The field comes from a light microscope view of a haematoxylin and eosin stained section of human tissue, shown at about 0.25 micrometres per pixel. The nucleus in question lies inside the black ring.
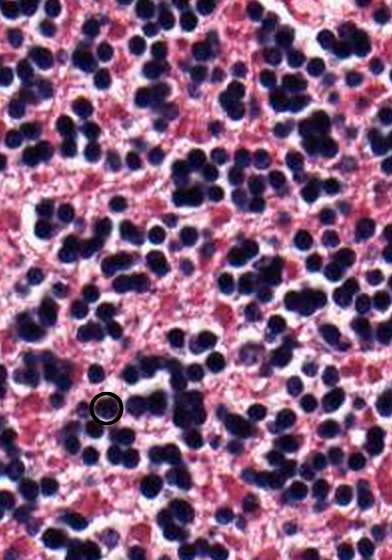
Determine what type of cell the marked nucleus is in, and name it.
cerebellar granule cell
